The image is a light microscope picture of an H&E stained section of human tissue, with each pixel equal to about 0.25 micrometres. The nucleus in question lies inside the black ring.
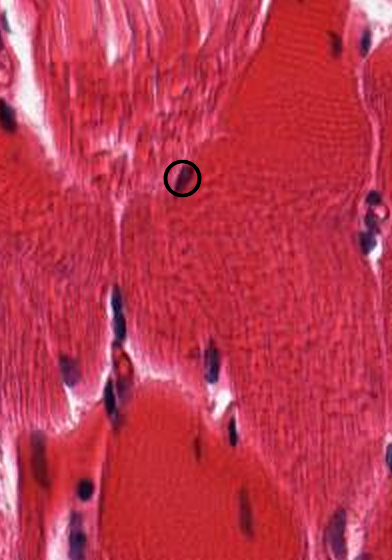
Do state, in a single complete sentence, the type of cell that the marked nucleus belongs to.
It is to a skeletal muscle fibre that the marked nucleus belongs.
